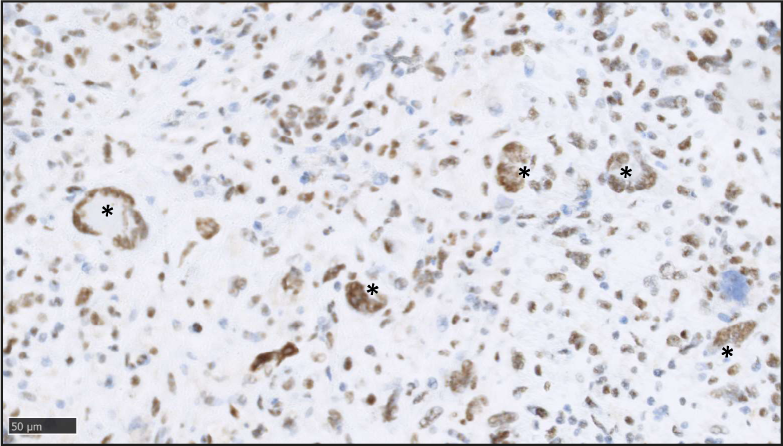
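A densely cellular tumor area in which most nuclei are stained brown, crowded and varied in size and shape, from small oval ones to elongated and irregular forms. Scattered among them are several very large cells, each holding a cluster of brown nuclei arranged in a ring or heap within ample cytoplasm; these are multinucleated giant cells. Fewer small blue nuclei sit between the brown ones, and the background between cells is pale and loose.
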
